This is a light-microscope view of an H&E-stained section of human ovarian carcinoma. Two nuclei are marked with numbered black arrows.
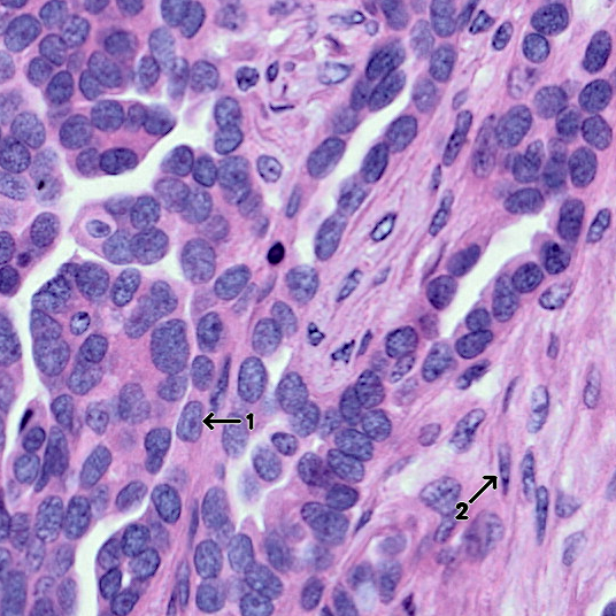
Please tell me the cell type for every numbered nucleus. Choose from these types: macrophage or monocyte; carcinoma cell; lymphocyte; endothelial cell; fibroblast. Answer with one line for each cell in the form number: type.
1: carcinoma cell
2: fibroblast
